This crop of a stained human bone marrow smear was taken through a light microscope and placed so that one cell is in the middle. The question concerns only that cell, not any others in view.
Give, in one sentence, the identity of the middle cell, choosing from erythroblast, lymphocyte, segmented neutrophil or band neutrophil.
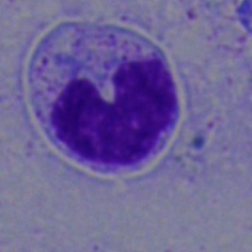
Of the cells in this crop, the central one is a band neutrophil.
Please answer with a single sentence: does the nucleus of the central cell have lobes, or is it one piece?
Between us, the nucleus here is just one compact mass, round, oval or kidney-shaped.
